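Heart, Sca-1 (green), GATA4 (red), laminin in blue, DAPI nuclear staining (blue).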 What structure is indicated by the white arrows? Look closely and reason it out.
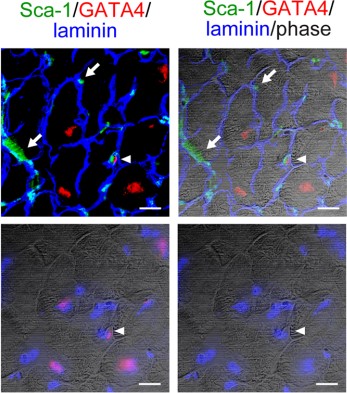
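The arrows point at thin green profiles lying between the large outlined fibers. The green profiles lie along the blue outlines, not inside the fibers.
Conclusion: capillaries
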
